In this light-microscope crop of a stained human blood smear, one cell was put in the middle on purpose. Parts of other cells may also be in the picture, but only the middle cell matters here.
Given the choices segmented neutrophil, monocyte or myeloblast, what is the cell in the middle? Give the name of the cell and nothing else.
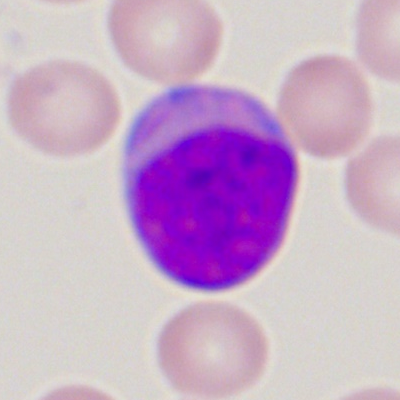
myeloblast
